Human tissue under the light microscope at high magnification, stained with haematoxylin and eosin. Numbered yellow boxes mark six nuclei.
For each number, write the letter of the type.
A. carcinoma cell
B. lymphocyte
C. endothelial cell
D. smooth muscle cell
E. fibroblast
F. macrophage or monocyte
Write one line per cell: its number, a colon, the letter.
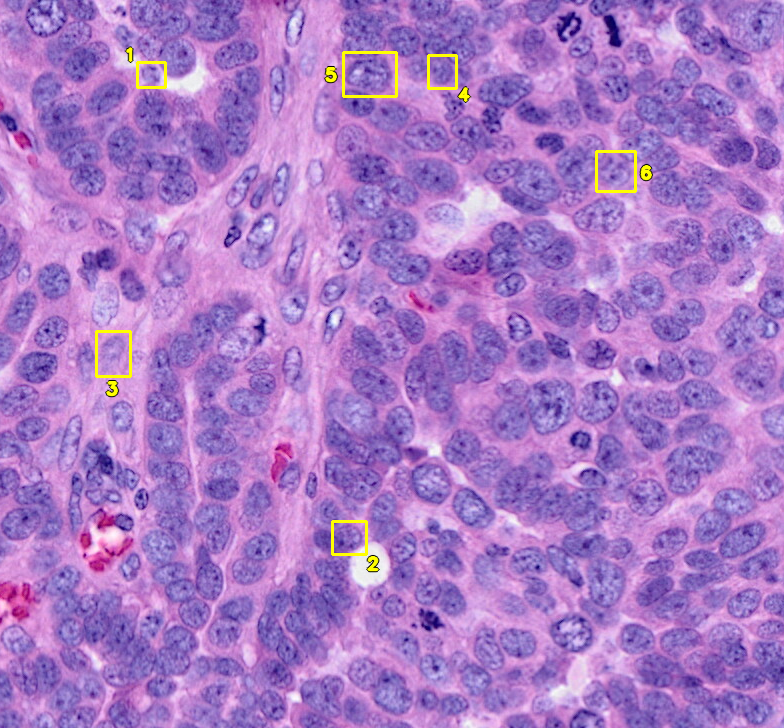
1: F
2: A
3: E
4: A
5: A
6: A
